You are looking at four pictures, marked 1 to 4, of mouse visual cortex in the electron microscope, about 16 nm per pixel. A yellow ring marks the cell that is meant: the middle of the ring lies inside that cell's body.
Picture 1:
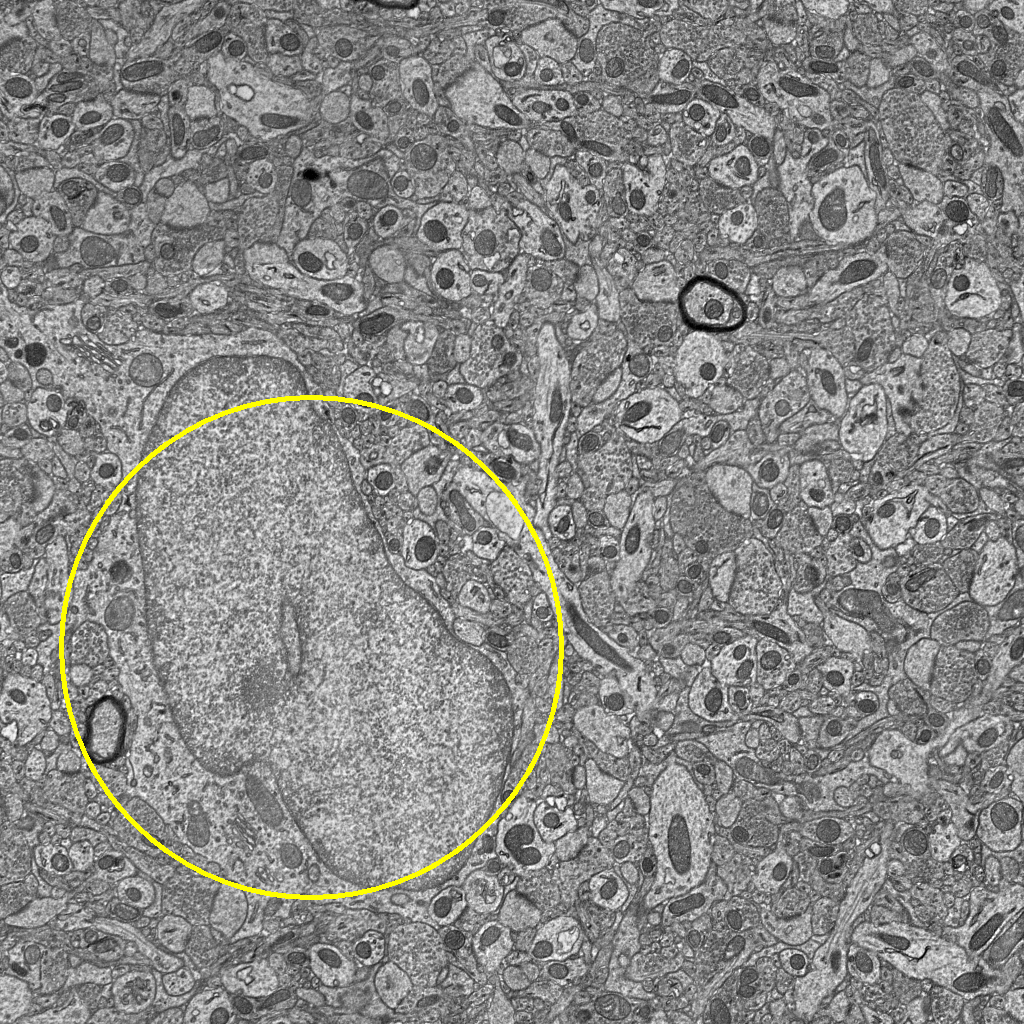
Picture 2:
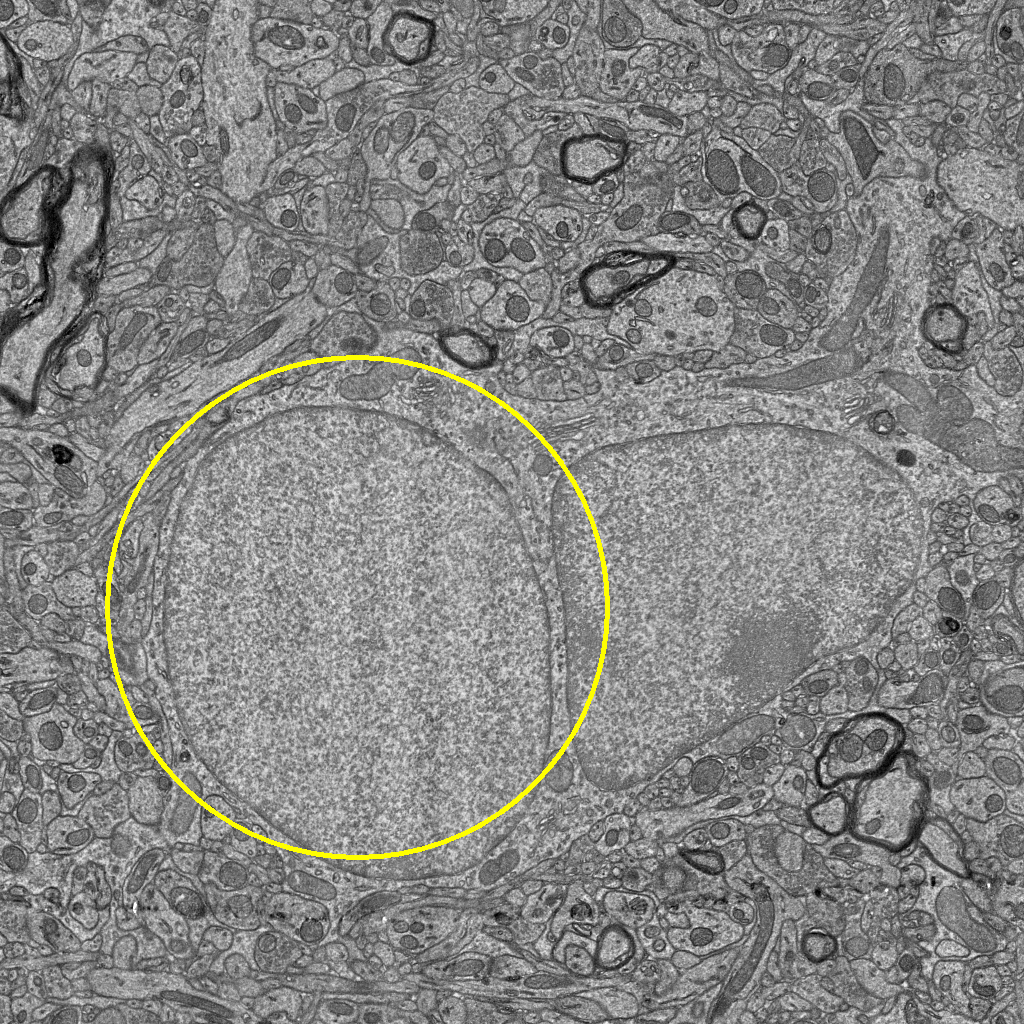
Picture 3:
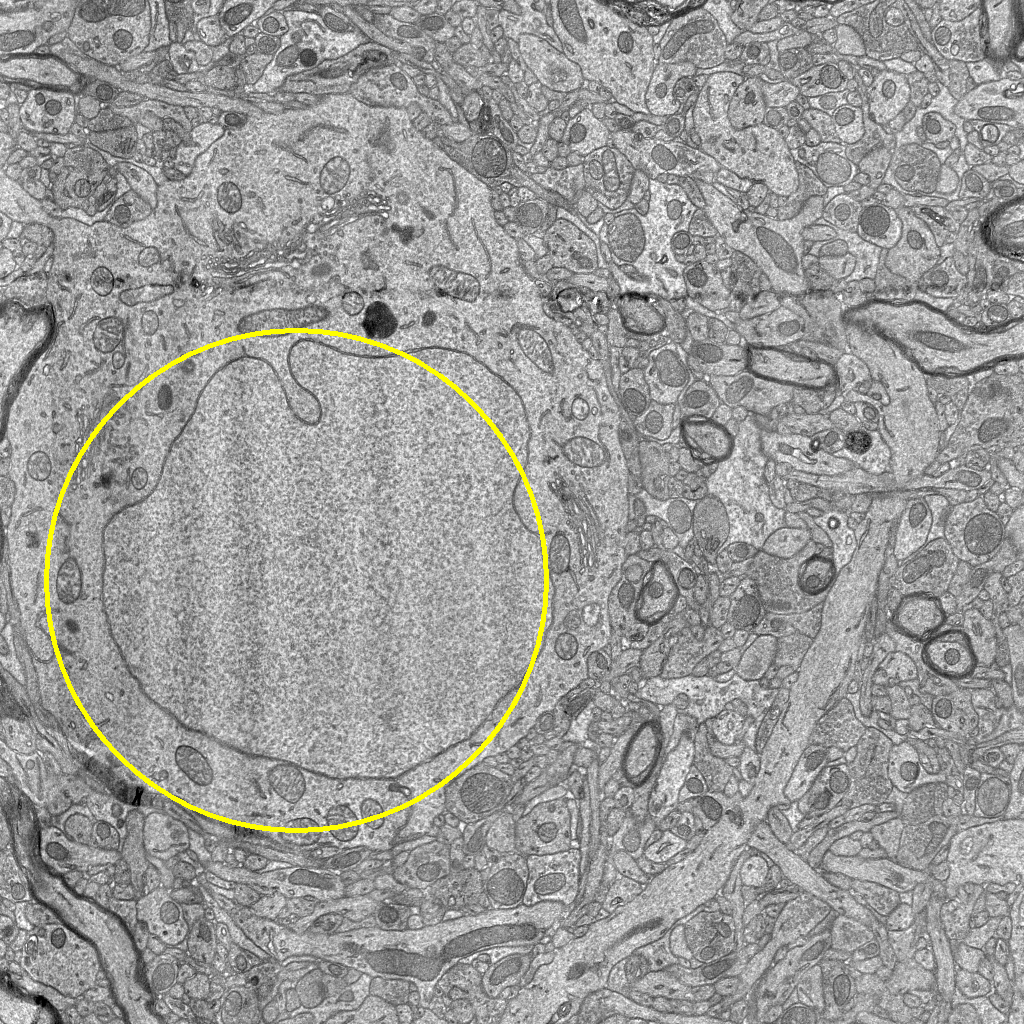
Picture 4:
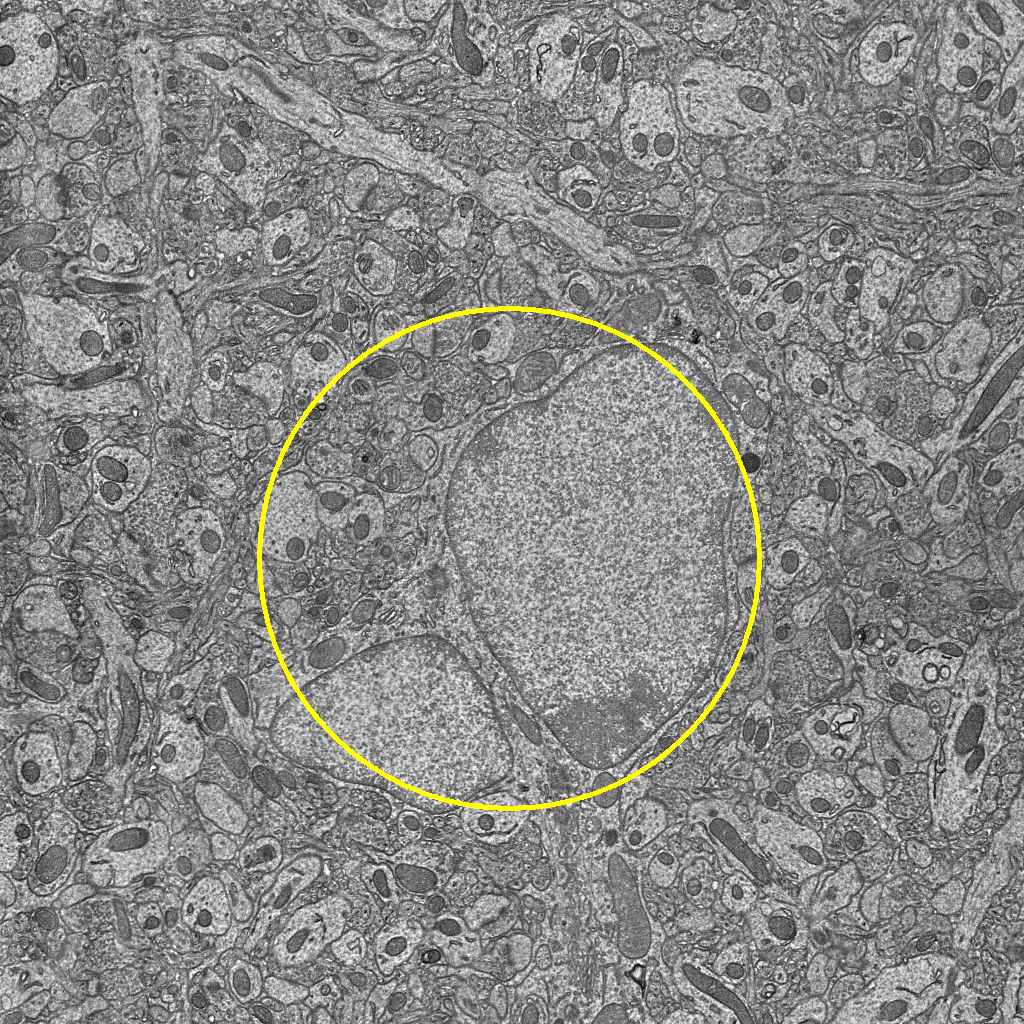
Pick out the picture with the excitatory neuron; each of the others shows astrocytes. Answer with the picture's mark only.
3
